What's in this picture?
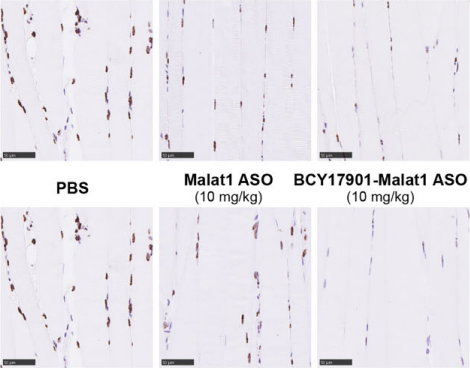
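Longitudinally cut skeletal muscle, shown in six frames, with long parallel fibers of pale cytoplasm and elongated nuclei along their margins. The middle frames have fewer and fainter brown nuclei. In the lower right frame most nuclei are blue with little brown.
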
